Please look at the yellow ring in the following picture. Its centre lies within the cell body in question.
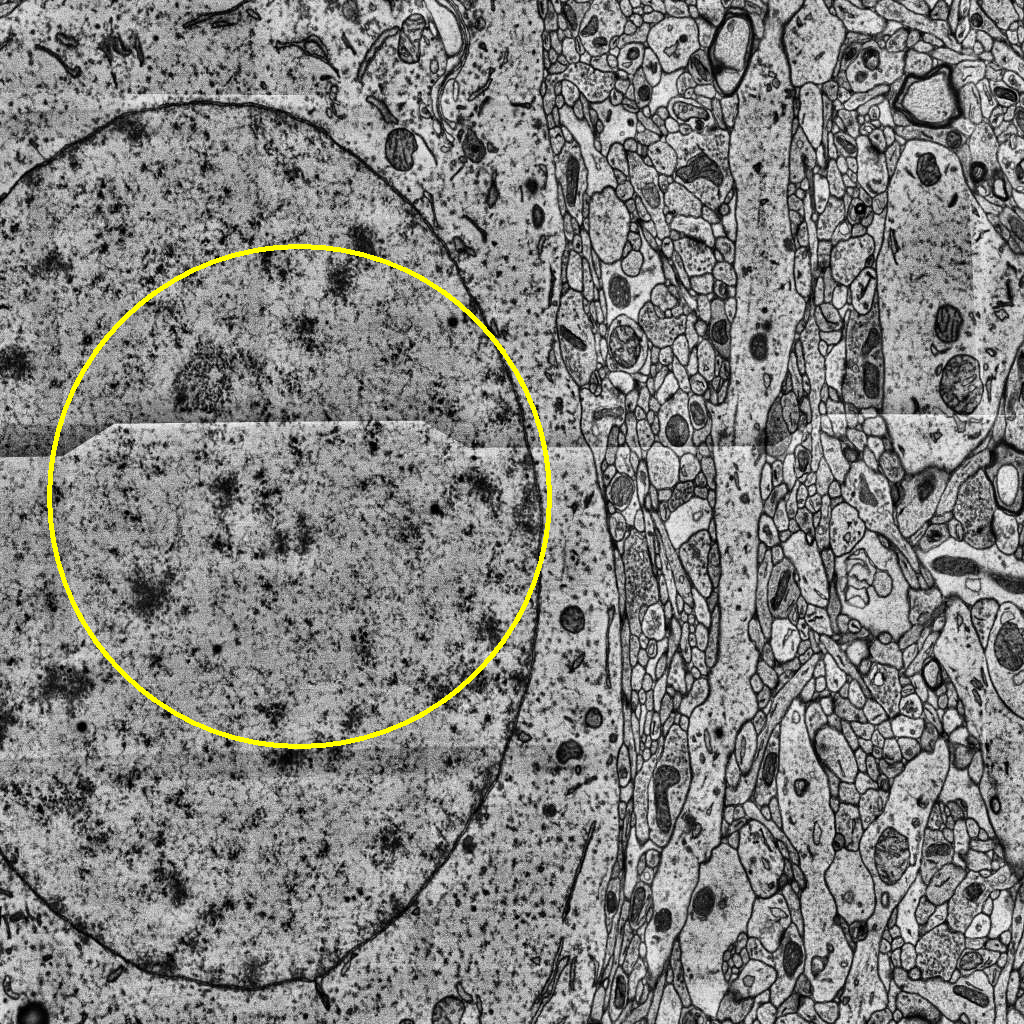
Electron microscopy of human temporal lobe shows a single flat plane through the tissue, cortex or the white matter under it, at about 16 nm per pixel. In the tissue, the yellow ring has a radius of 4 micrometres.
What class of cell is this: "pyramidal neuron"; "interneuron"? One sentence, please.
The centre of the ring lies in the cell body of a pyramidal neuron.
